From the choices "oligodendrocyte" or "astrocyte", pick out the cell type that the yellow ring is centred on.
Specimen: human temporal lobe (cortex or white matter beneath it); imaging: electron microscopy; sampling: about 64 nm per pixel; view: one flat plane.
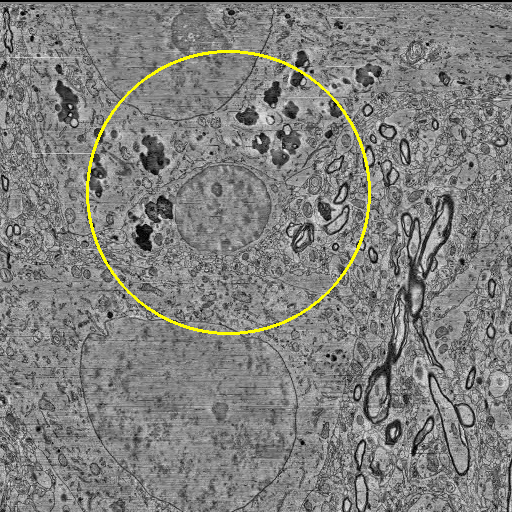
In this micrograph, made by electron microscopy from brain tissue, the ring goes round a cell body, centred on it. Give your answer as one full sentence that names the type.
The yellow ring is centred on an oligodendrocyte, whose cell body it encircles in the picture.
